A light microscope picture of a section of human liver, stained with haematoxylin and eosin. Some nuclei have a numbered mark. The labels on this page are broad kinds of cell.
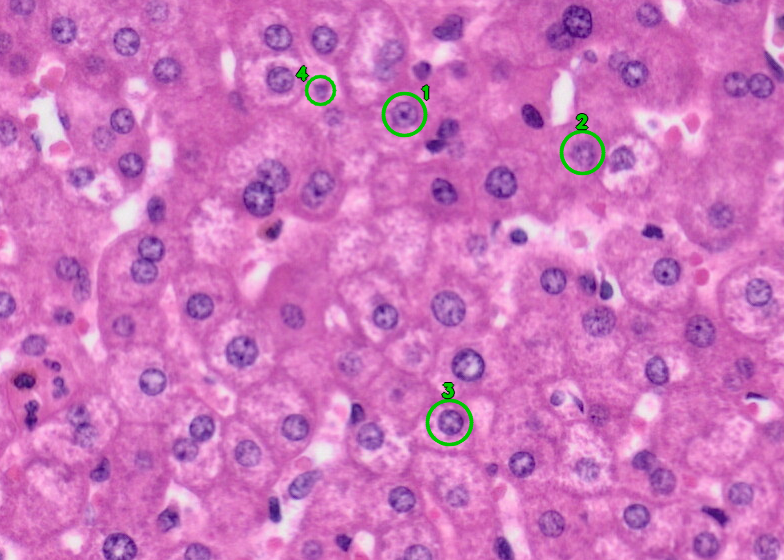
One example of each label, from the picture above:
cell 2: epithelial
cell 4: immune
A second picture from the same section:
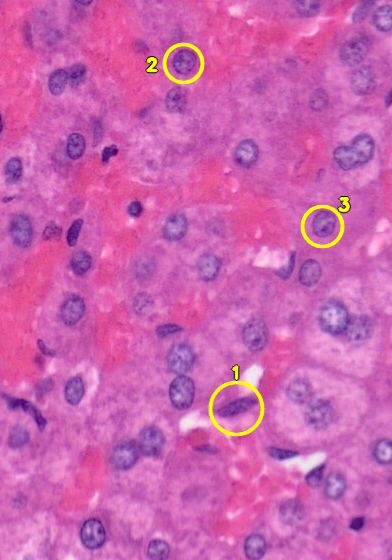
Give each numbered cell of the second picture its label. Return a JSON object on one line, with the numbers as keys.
{"1": "immune", "2": "epithelial", "3": "epithelial"}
